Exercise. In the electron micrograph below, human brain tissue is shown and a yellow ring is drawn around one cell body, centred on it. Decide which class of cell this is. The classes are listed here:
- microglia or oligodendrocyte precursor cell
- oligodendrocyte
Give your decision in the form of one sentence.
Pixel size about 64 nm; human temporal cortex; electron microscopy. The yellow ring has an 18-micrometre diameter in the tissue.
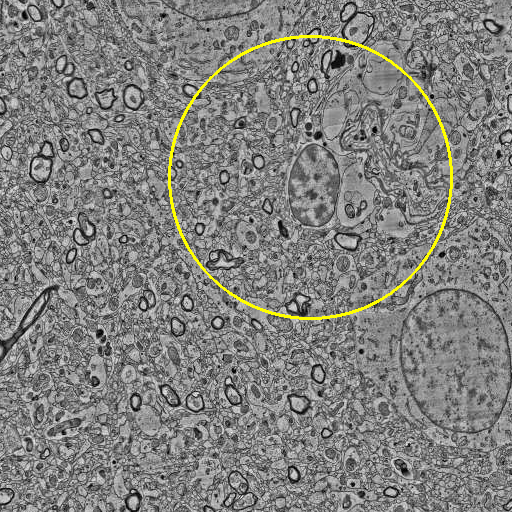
The cell body marked by the ring belongs to a microglial cell or oligodendrocyte precursor cell.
